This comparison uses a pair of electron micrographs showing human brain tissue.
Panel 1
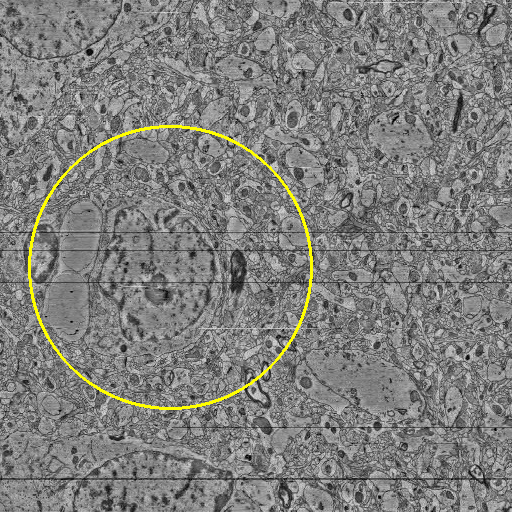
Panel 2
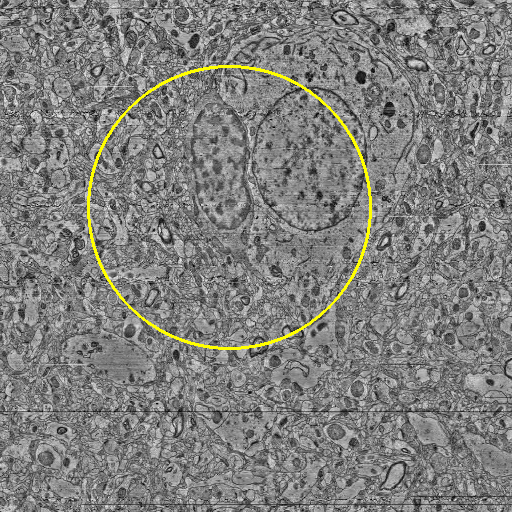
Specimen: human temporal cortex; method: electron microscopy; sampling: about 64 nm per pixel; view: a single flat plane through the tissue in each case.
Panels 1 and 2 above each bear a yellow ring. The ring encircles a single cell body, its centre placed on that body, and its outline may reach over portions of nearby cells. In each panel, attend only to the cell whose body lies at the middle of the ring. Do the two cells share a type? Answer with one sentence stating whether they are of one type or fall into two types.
In Panel 1 and Panel 2, the cells at the centres of the rings fall into two types.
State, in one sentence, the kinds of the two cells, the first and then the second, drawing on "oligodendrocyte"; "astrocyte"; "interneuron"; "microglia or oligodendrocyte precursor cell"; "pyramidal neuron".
The ring in the second picture is centred on an oligodendrocyte, the ring in the first on an interneuron.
